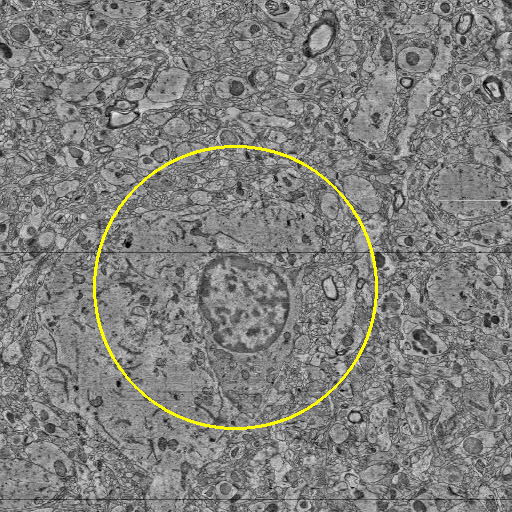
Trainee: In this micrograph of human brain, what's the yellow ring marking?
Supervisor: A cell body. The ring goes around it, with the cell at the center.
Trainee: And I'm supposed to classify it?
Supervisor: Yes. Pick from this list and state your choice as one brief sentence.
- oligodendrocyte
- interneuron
The cell at the ring's center is an oligodendrocyte.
